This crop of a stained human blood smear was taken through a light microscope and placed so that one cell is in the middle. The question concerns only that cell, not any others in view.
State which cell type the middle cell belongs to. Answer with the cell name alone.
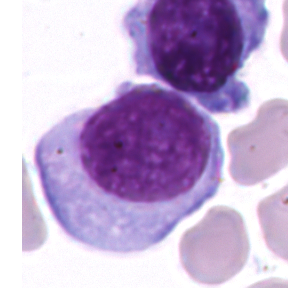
plasma cell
